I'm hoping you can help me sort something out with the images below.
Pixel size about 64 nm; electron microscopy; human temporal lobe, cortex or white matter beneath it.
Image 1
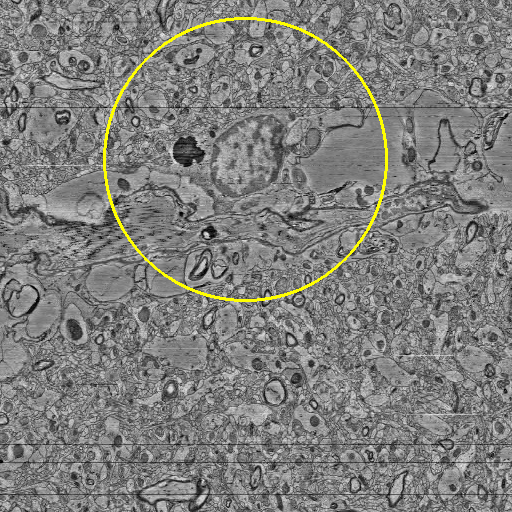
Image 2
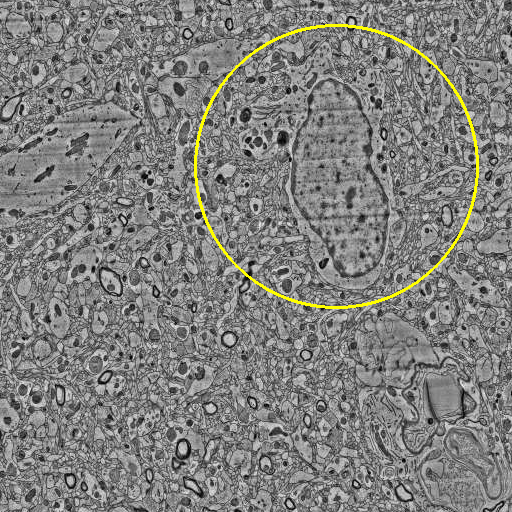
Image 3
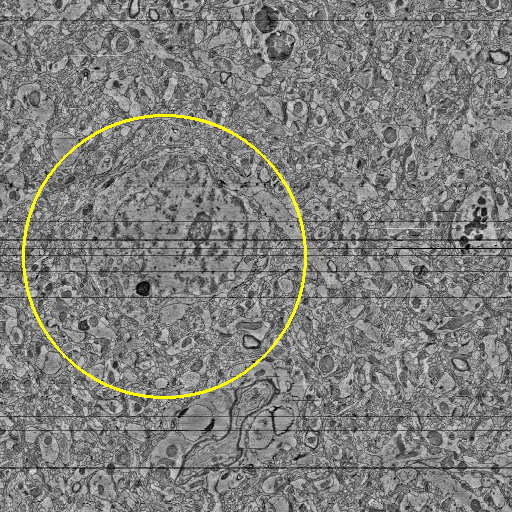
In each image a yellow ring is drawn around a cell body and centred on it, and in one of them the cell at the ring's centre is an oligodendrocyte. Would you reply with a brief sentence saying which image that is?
In Image 1, the cell at the centre of the ring is the one you asked about.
